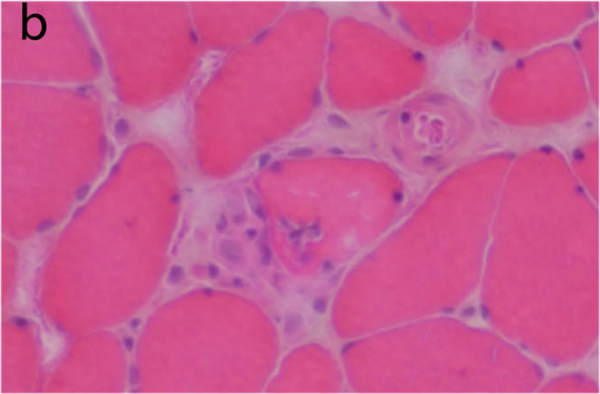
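At higher power, skeletal muscle fibers appear as pink polygons with flattened nuclei at their periphery. In the center a paler, unevenly stained fiber is crowded by small dark mononuclear cells lying in the connective tissue between fibers, consistent with a necrotic fiber being invaded.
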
